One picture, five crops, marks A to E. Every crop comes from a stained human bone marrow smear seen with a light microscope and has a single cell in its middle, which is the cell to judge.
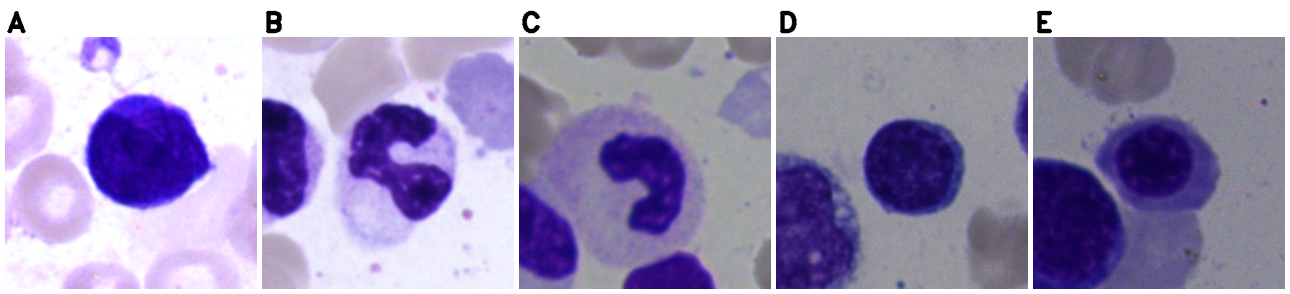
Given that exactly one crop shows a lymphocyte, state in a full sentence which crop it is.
Crop D is identified as the crop showing a lymphocyte.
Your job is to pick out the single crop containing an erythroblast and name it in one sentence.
Crop E, and no other, is the one that shows an erythroblast.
